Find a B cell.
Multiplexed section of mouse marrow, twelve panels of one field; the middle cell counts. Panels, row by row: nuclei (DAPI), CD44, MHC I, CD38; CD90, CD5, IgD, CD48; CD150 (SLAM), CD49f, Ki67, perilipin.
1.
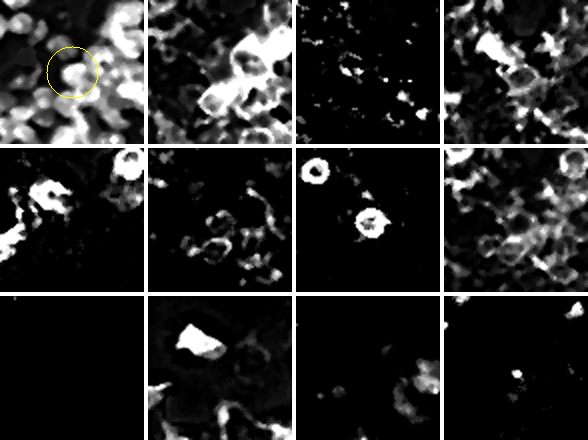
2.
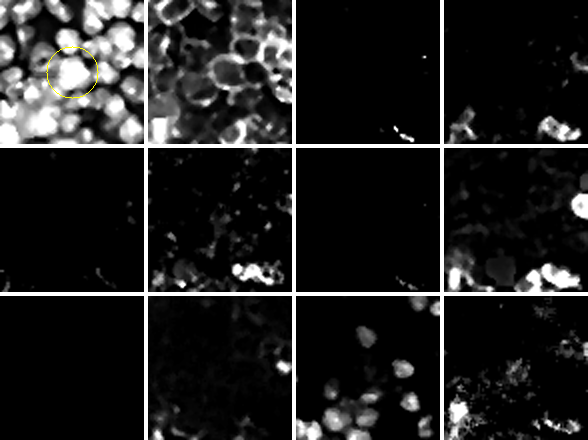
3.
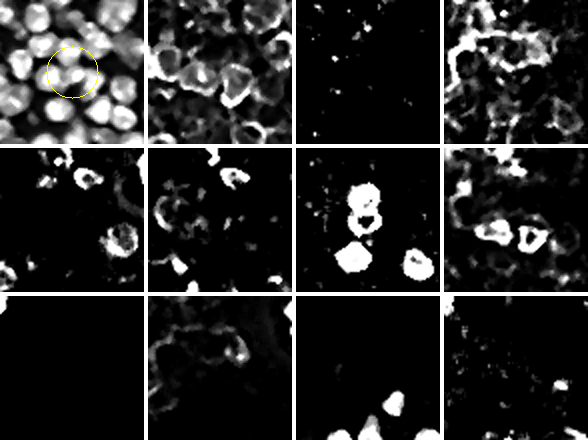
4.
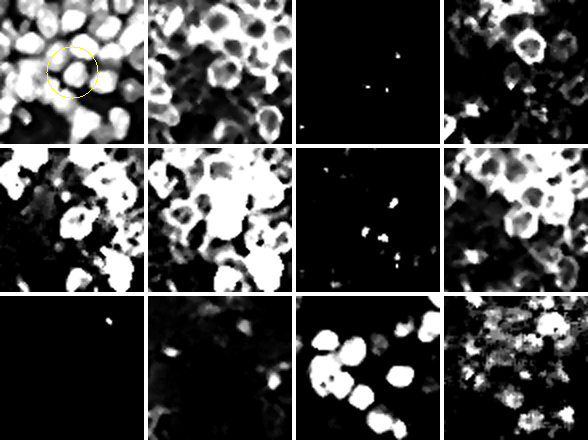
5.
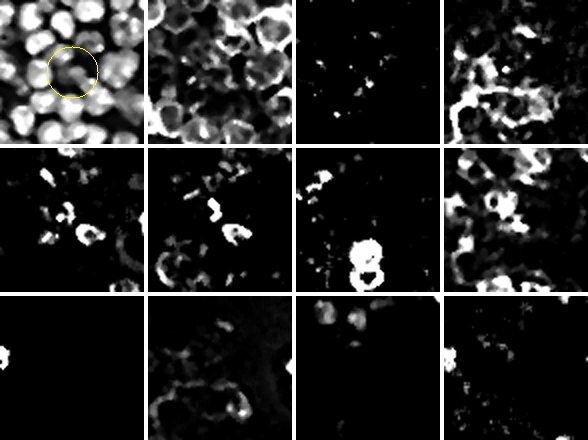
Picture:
1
